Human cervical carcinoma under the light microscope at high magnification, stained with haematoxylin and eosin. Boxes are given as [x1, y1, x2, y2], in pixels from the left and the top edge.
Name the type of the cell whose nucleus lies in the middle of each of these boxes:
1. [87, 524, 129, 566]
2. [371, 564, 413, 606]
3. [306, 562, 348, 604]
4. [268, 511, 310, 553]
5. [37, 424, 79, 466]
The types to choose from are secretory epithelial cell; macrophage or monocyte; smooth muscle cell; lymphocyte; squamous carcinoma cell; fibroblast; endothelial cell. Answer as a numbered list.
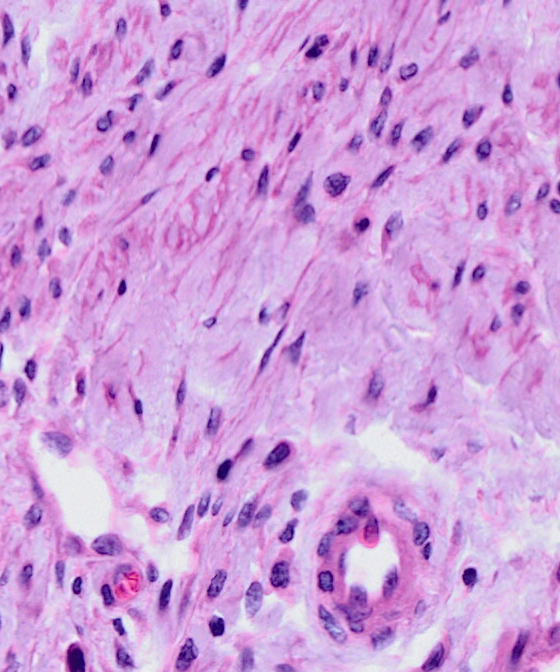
1. endothelial cell
2. endothelial cell
3. smooth muscle cell
4. lymphocyte
5. endothelial cell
